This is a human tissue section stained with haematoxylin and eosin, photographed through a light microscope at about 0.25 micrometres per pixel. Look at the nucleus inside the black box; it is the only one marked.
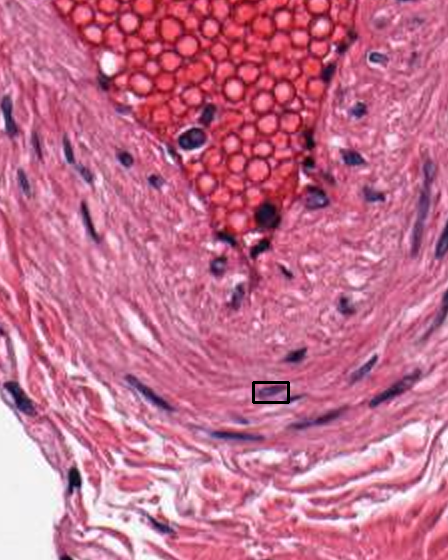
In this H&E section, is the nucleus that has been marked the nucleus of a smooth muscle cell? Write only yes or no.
yes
